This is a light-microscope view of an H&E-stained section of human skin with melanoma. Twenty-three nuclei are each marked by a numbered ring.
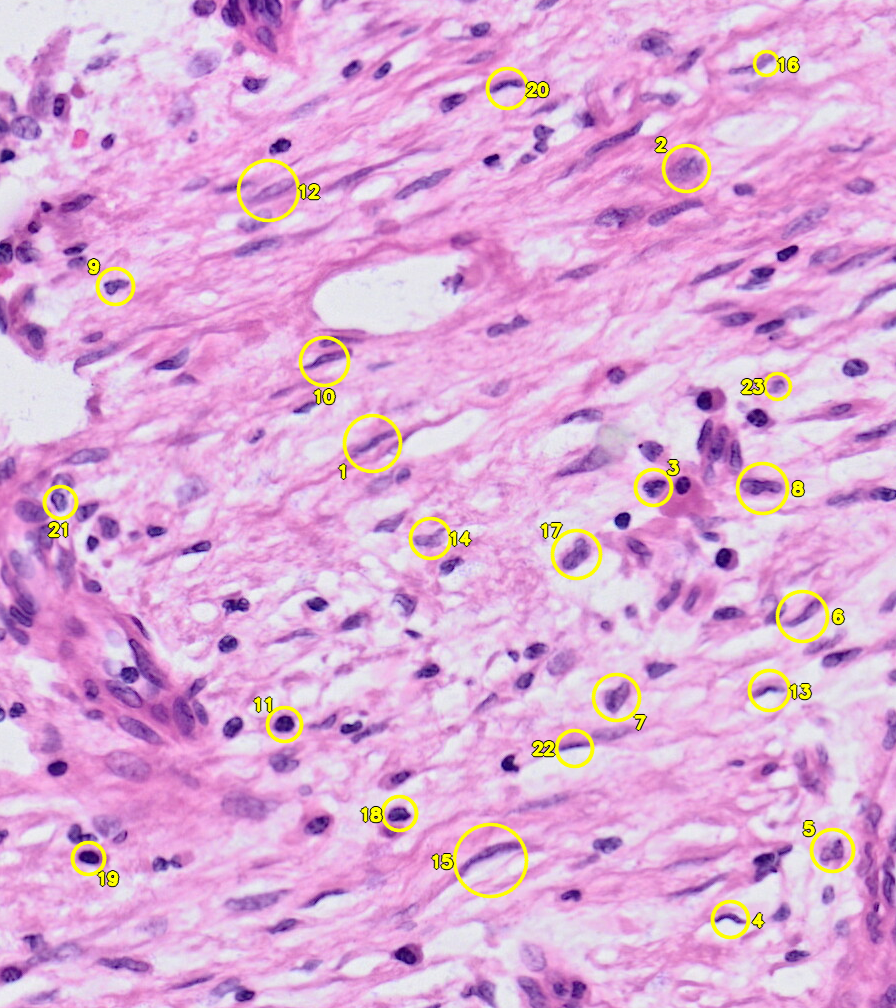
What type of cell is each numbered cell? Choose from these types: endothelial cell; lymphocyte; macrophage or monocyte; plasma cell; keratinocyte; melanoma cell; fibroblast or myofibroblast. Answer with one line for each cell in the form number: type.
1: fibroblast or myofibroblast
2: fibroblast or myofibroblast
3: lymphocyte
4: fibroblast or myofibroblast
5: macrophage or monocyte
6: fibroblast or myofibroblast
7: macrophage or monocyte
8: macrophage or monocyte
9: lymphocyte
10: fibroblast or myofibroblast
11: plasma cell
12: fibroblast or myofibroblast
13: fibroblast or myofibroblast
14: fibroblast or myofibroblast
15: fibroblast or myofibroblast
16: fibroblast or myofibroblast
17: macrophage or monocyte
18: lymphocyte
19: plasma cell
20: fibroblast or myofibroblast
21: lymphocyte
22: fibroblast or myofibroblast
23: macrophage or monocyte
